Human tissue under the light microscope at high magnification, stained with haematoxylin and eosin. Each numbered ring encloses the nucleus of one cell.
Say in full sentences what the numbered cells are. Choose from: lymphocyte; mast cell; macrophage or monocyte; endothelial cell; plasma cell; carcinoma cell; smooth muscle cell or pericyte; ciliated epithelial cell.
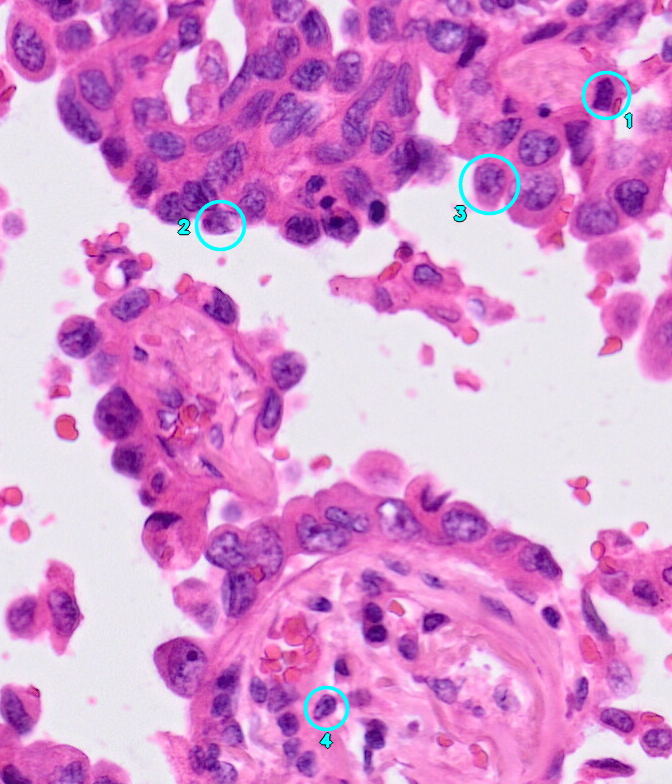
Cell 1 is a carcinoma cell, cell 2 is a carcinoma cell, cell 3 is a carcinoma cell and cell 4 is a lymphocyte.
